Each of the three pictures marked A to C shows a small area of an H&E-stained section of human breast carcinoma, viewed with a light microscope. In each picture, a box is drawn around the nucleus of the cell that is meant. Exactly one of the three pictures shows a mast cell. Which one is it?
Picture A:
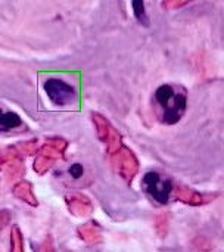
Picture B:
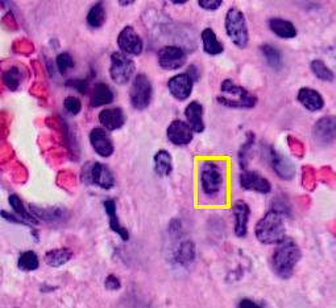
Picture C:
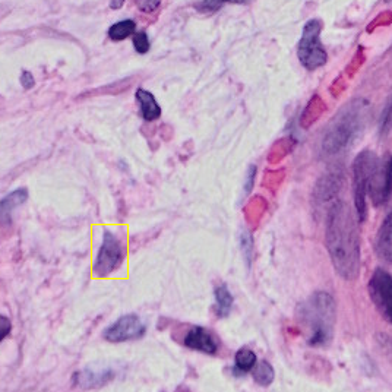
B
